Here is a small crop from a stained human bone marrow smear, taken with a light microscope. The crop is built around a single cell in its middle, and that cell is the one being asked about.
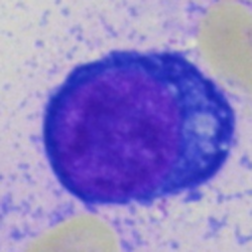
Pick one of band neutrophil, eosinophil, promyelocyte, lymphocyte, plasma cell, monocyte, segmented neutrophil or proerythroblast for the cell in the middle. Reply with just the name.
proerythroblast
